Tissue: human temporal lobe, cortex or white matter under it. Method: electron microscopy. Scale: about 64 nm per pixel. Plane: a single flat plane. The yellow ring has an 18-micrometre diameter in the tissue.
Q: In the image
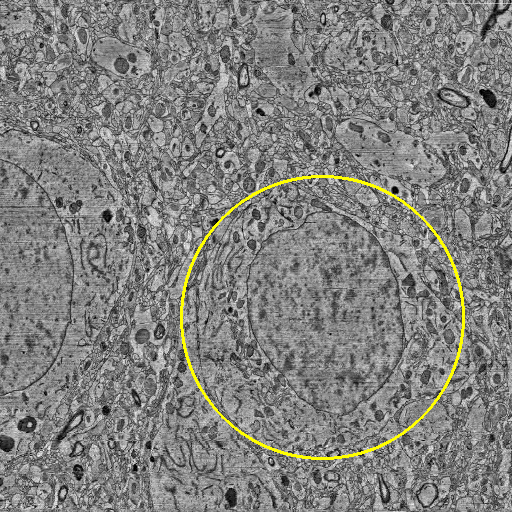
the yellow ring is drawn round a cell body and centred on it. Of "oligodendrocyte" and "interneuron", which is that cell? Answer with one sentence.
The cell centred in the ring is an interneuron.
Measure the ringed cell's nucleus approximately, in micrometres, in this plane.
The nucleus comes to roughly 14 by 10 micrometres in this plane.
